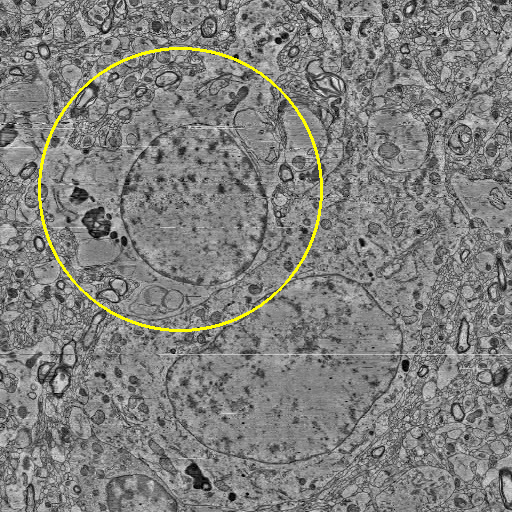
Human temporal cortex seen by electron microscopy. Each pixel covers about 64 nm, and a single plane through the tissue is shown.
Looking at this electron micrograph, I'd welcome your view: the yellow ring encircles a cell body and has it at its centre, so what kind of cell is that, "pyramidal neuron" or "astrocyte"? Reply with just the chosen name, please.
astrocyte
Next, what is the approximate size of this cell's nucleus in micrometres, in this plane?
The nucleus is approximately 10 micrometers across in this plane.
